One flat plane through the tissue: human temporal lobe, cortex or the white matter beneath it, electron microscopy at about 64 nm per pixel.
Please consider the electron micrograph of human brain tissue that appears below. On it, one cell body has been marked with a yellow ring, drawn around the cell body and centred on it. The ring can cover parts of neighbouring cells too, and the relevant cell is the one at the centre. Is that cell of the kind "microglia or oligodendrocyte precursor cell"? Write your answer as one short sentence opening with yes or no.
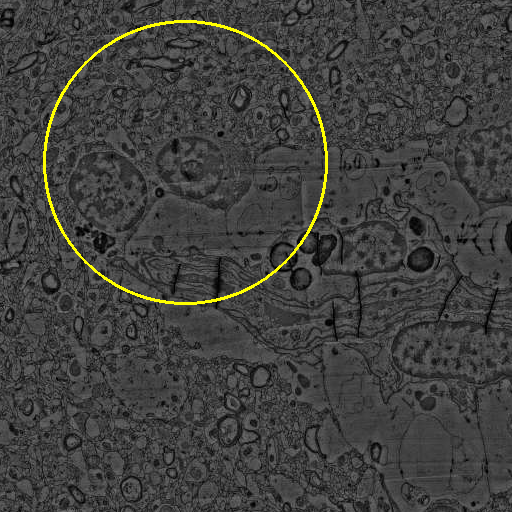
No, it is of another kind.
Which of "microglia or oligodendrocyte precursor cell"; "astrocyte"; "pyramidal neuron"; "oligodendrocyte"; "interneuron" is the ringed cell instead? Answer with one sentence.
It is an oligodendrocyte that the ring is centred on.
